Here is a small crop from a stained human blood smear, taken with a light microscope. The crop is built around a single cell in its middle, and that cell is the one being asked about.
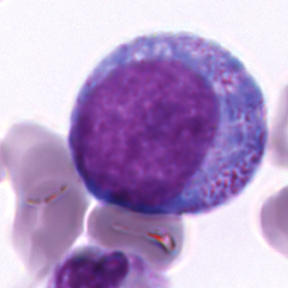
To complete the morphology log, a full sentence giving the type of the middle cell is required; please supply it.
The cell in the middle of the field of view is a promyelocyte.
